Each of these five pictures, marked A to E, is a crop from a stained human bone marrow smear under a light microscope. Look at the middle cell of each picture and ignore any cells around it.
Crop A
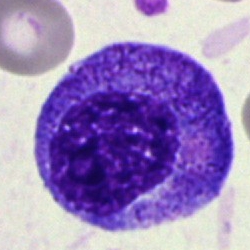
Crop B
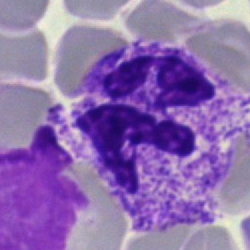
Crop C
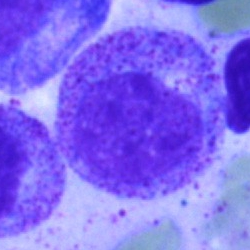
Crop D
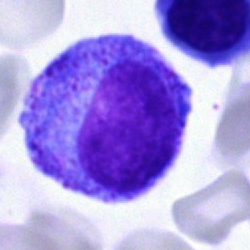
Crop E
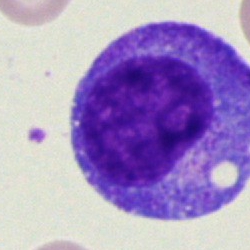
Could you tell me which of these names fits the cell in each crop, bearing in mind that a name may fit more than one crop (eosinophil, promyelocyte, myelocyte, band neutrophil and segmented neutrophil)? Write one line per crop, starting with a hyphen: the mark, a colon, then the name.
- A: promyelocyte
- B: segmented neutrophil
- C: myelocyte
- D: promyelocyte
- E: promyelocyte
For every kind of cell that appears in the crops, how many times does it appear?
promyelocyte: 3
segmented neutrophil: 1
myelocyte: 1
